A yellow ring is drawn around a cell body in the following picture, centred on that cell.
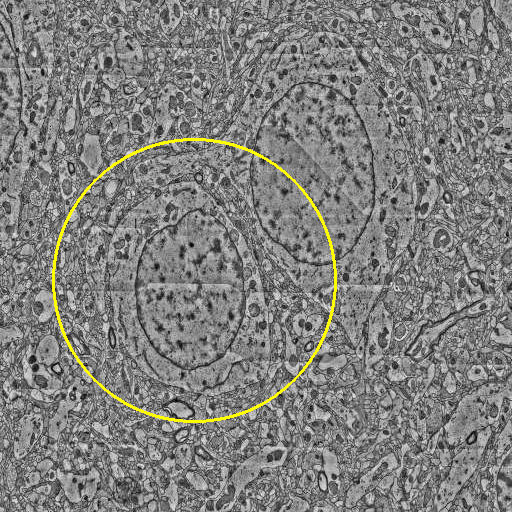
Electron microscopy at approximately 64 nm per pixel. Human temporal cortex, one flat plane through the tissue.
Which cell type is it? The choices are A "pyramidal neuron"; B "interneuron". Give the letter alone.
A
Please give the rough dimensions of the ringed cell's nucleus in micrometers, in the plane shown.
In this plane, about 10 micrometres in length and 7 in width.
